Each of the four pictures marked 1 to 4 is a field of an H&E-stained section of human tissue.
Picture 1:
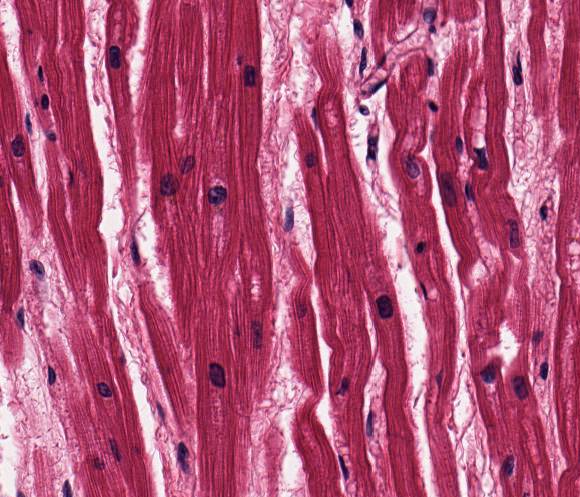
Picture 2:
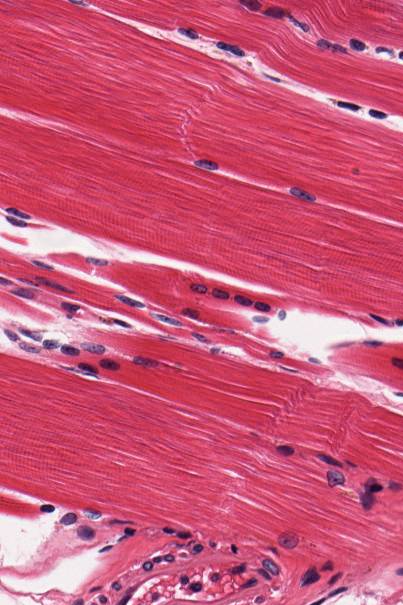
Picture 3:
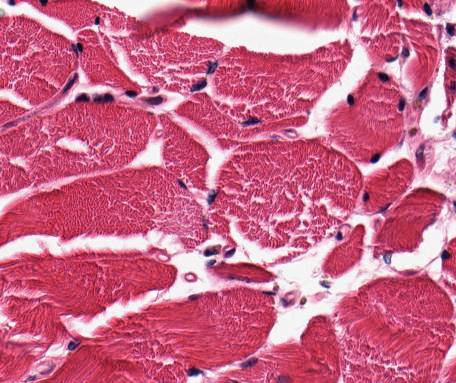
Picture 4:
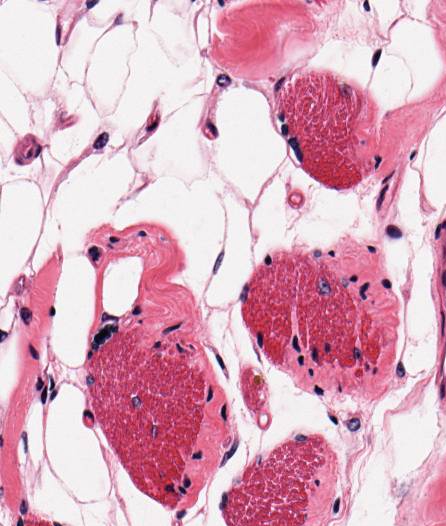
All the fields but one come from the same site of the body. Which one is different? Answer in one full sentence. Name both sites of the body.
All pictures except 1 come from skeletal muscle; picture 1 comes from the atrial appendage of the heart.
